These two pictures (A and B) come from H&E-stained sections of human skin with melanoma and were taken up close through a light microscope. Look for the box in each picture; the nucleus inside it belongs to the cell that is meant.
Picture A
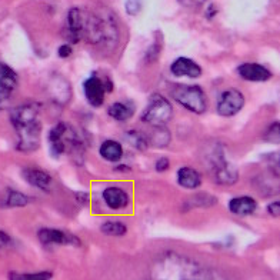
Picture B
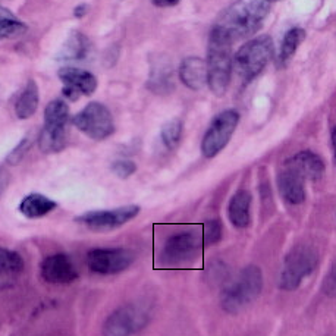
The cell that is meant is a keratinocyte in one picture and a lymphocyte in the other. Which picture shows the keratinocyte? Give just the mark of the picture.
B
